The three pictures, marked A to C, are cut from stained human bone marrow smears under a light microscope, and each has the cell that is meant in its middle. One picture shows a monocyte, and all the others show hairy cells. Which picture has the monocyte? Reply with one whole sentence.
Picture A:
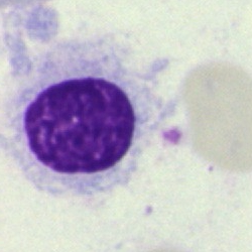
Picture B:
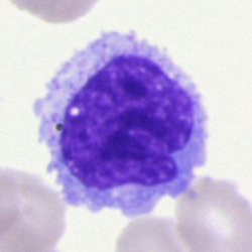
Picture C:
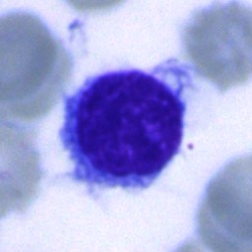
It is picture B that shows the monocyte.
